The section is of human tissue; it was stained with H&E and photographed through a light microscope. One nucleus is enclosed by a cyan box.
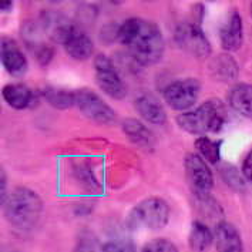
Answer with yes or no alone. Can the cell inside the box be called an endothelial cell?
yes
